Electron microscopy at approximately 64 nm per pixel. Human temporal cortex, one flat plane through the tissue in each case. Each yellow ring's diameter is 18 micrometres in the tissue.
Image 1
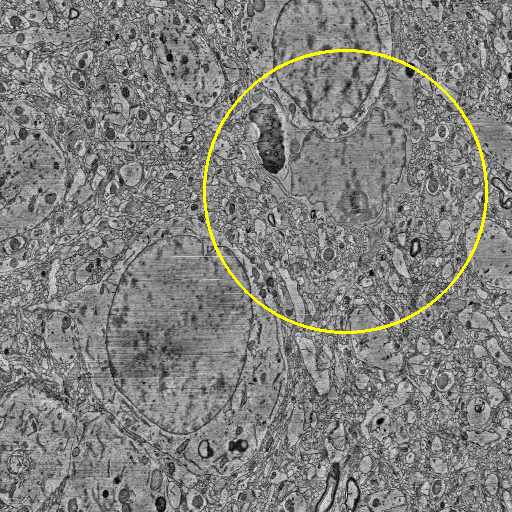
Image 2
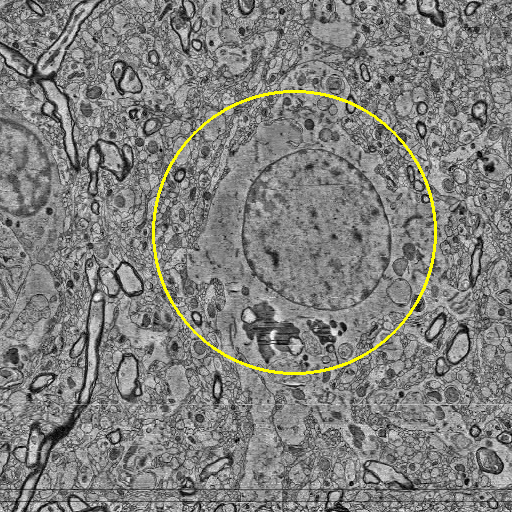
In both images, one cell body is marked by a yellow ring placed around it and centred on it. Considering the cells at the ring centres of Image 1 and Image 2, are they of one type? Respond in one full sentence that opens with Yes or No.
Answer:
Yes, a single type applies to the ring-centred cells of both Image 1 and Image 2.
